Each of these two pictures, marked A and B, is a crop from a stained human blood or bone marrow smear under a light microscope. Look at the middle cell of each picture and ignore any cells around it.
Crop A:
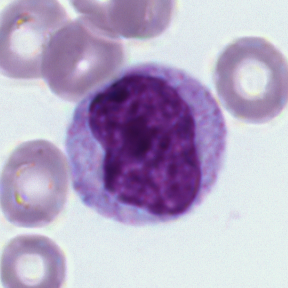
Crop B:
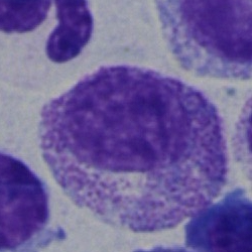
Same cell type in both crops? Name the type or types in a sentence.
Yes, the two crops show myelocytes, one cell each.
